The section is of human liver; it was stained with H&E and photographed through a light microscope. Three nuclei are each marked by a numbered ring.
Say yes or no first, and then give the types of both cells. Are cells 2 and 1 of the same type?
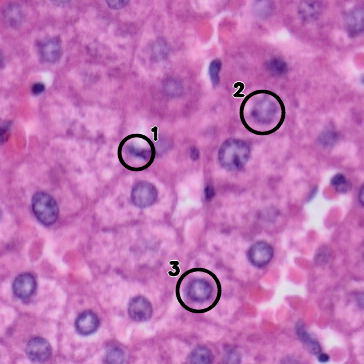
No, as for cell 2, it is a hepatocyte, and cell 1 is an endothelial cell.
